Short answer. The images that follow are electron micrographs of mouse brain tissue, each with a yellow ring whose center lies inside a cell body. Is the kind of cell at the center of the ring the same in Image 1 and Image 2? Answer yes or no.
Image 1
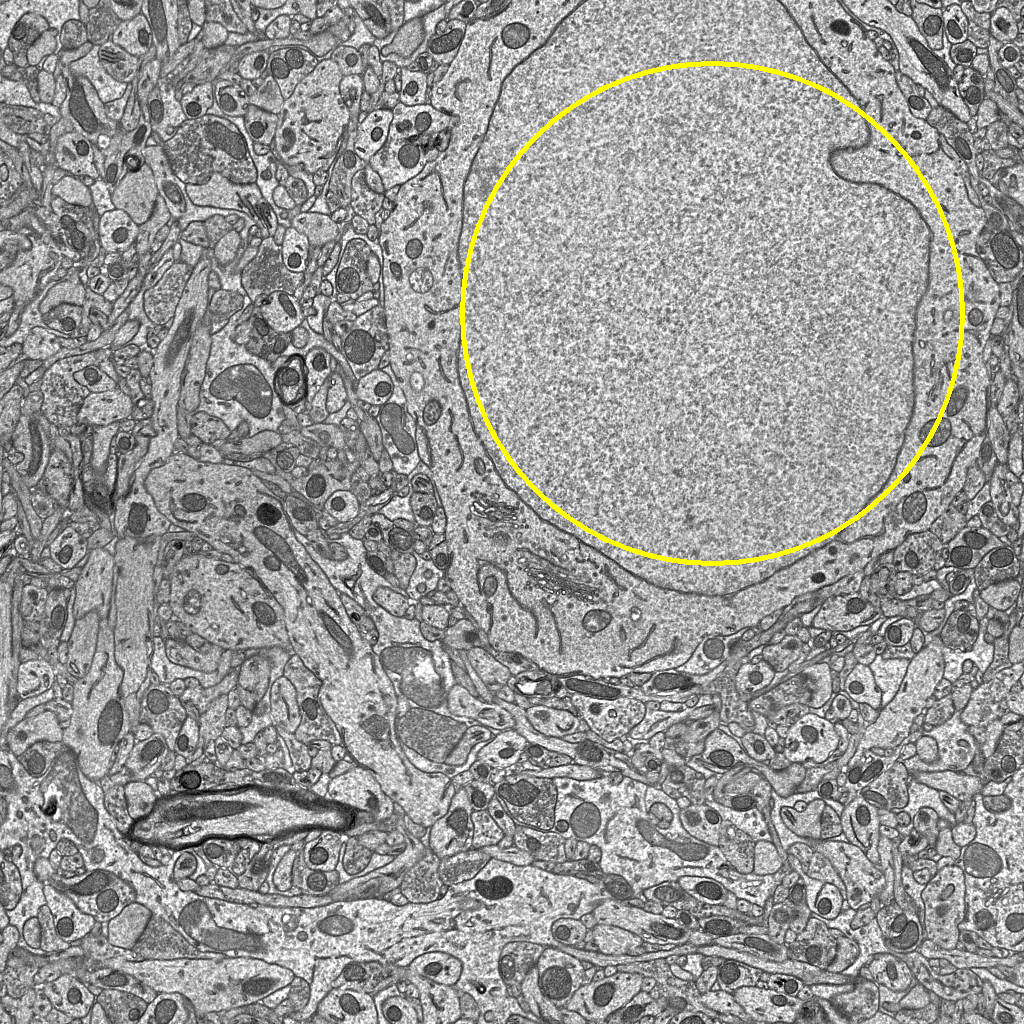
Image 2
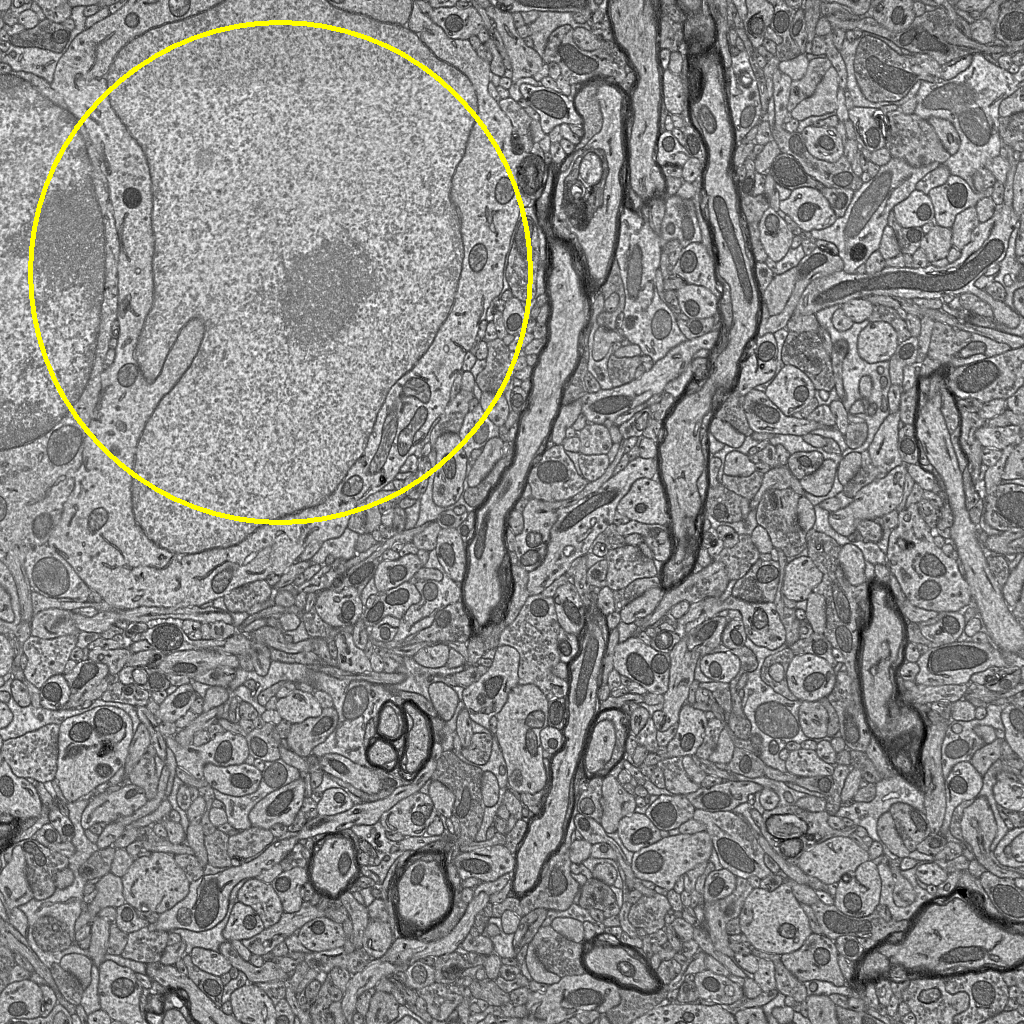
yes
